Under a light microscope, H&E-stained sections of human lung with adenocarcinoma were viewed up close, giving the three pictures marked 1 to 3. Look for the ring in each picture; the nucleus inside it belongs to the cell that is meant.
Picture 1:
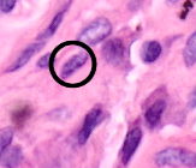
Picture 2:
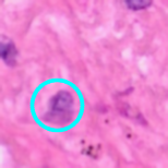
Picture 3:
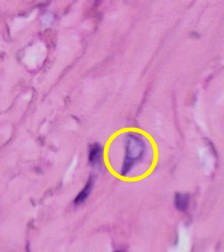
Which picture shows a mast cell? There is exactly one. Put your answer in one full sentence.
Picture 1 is the one that shows the mast cell.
